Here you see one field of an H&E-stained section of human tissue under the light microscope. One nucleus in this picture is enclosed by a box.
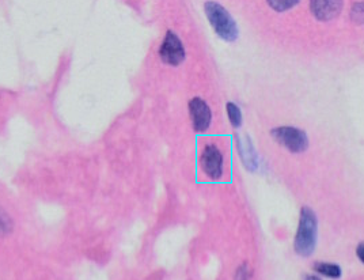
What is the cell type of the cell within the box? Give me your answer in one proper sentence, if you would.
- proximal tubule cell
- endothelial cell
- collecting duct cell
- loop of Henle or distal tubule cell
What the cell within the box represents is a proximal tubule cell.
